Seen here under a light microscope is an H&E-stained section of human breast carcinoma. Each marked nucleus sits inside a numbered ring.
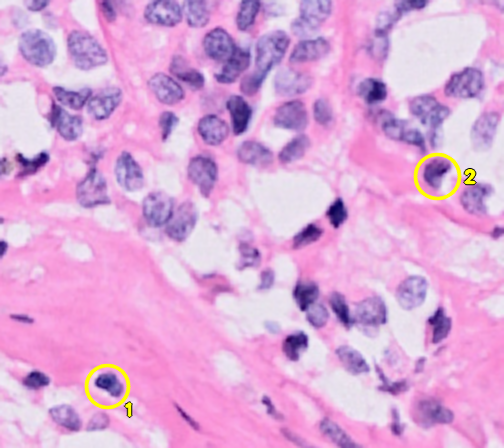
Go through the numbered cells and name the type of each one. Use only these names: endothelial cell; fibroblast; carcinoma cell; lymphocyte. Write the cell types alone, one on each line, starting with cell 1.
lymphocyte
carcinoma cell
